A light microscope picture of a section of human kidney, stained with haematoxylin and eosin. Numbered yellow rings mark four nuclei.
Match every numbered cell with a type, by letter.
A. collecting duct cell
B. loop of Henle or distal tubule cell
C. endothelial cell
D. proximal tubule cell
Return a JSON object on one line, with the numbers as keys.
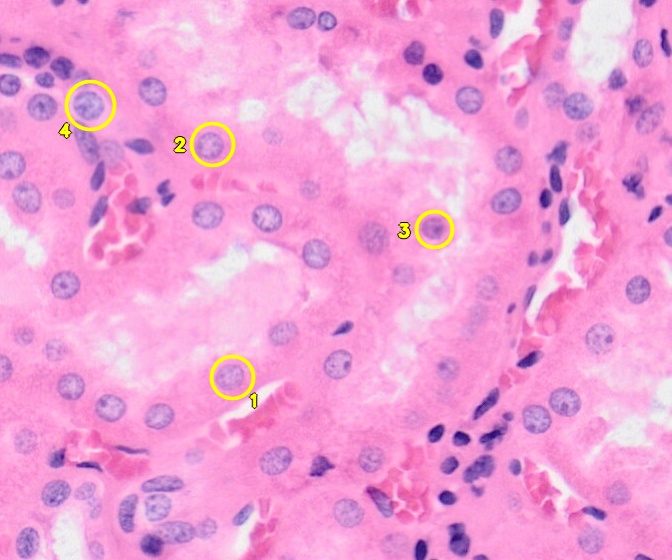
{"1": "D", "2": "D", "3": "D", "4": "A"}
